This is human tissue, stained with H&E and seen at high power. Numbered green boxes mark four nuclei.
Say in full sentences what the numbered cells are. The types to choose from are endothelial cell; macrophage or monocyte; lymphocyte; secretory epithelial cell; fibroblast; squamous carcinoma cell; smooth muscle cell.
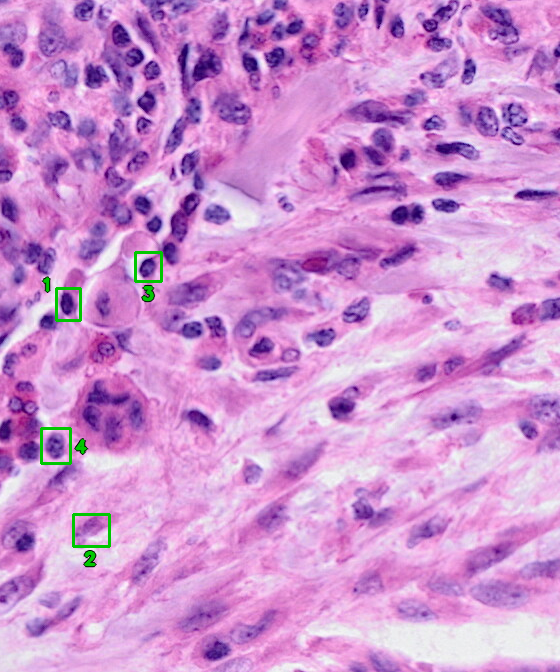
Cells 1, 3 and 4 are lymphocytes. Cell 2 is a fibroblast.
